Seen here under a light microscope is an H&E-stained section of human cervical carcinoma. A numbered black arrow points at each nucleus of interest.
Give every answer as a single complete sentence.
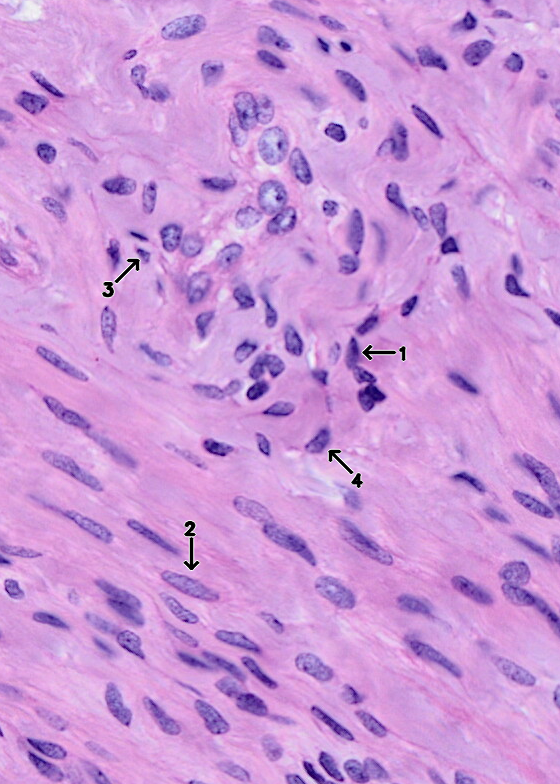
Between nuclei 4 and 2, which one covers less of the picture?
With nucleus 2 about 2 times its size, nucleus 4 is the smaller of the two.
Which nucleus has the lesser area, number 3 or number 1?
Nucleus 3 is the smaller one; nucleus 1 covers about 3 times its area.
